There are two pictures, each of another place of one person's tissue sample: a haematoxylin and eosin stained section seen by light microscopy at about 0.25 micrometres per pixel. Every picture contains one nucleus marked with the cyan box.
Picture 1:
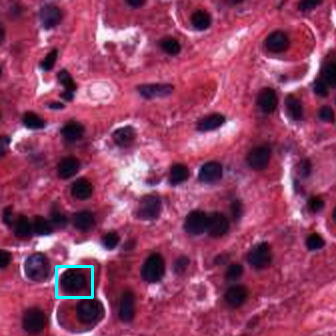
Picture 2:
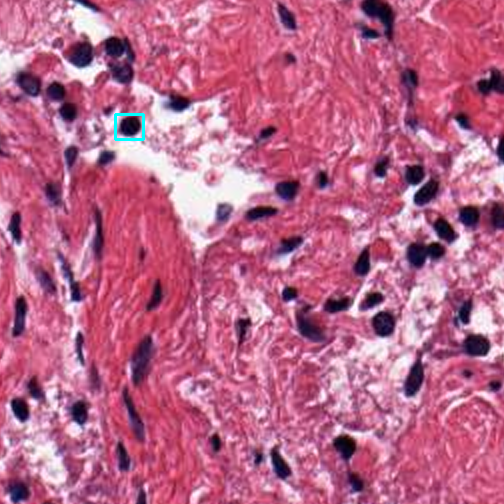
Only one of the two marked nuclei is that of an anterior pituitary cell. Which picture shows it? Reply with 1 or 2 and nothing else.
1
